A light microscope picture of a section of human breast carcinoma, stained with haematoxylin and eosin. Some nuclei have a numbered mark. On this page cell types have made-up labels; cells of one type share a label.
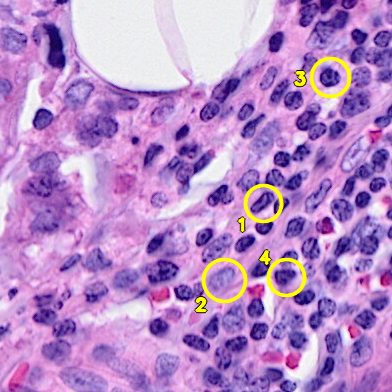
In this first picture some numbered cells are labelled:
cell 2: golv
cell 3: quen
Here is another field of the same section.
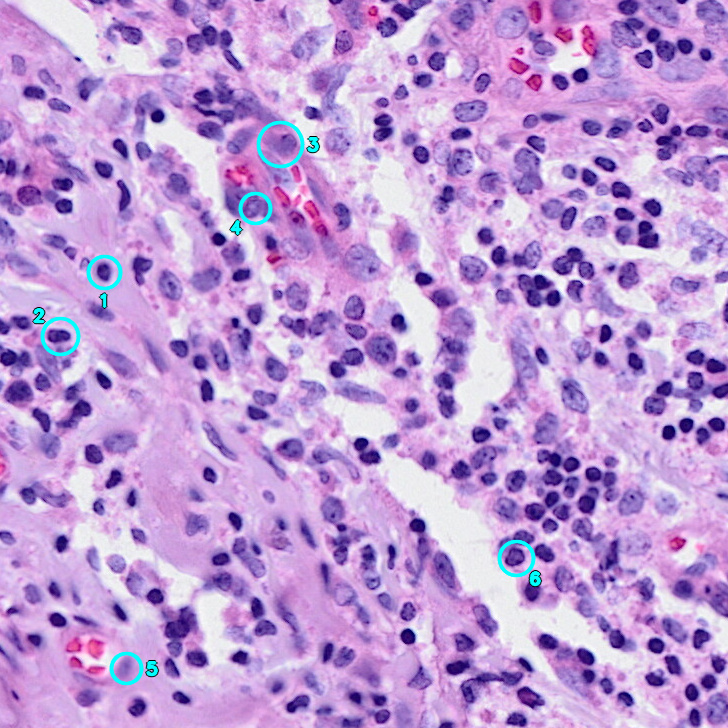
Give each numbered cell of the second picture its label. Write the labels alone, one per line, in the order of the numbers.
quen
quen
golv
golv
golv
quen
